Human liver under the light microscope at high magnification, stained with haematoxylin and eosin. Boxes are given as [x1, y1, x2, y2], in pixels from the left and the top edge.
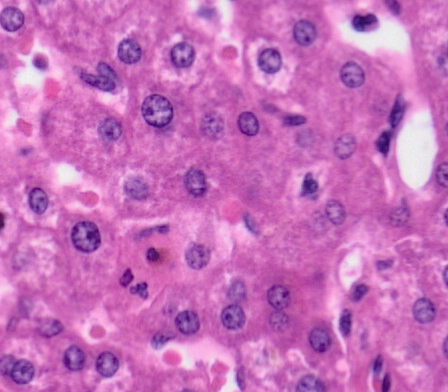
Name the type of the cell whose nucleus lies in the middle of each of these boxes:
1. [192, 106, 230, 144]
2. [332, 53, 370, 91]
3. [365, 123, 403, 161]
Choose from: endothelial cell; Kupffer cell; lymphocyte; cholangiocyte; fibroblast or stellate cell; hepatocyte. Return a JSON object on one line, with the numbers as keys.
{"1": "hepatocyte", "2": "hepatocyte", "3": "fibroblast or stellate cell"}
